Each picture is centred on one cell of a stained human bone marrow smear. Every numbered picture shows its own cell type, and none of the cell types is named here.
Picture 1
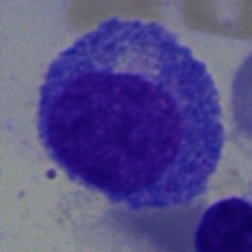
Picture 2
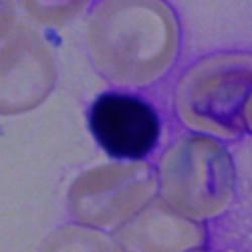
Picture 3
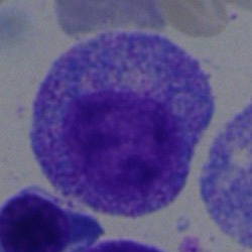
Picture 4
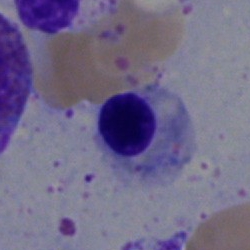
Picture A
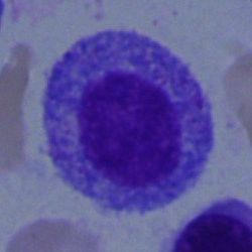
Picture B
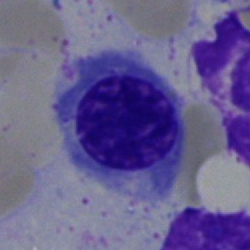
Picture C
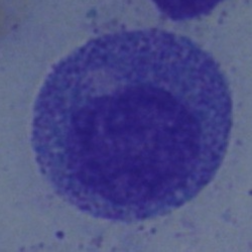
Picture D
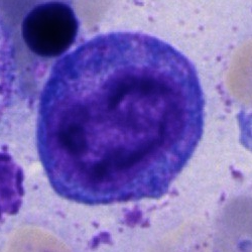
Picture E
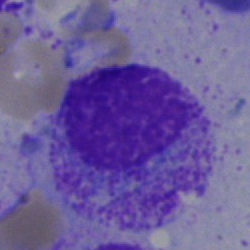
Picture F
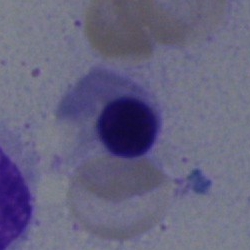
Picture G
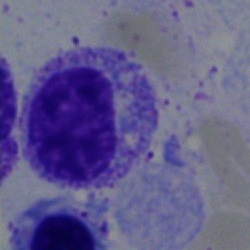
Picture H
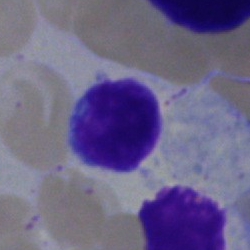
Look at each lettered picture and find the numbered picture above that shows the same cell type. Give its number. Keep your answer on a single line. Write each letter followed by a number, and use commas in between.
A 1, B 4, C 3, D 1, E 3, F 4, G 3, H 2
